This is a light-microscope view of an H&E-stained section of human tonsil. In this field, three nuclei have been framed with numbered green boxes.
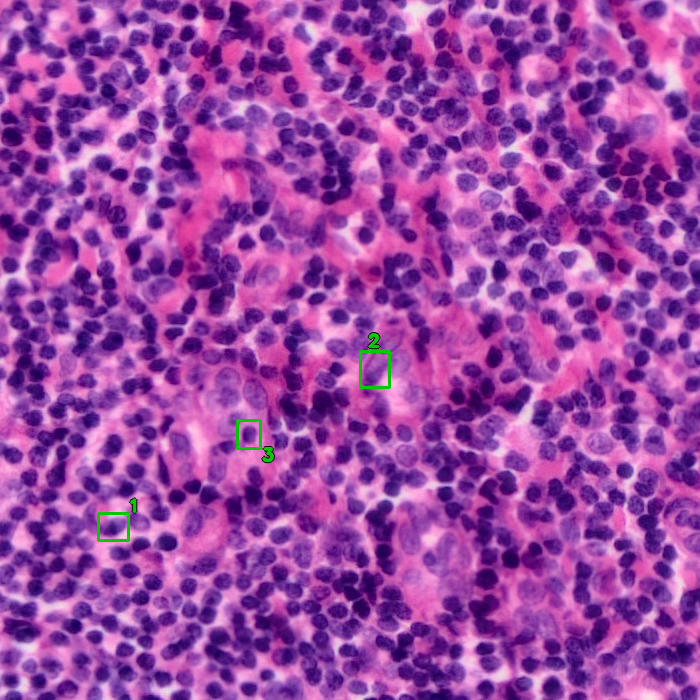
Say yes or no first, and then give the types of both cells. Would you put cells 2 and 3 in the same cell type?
Yes, cells 2 and 3 are both to be classed as endothelial cells.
